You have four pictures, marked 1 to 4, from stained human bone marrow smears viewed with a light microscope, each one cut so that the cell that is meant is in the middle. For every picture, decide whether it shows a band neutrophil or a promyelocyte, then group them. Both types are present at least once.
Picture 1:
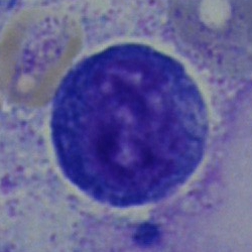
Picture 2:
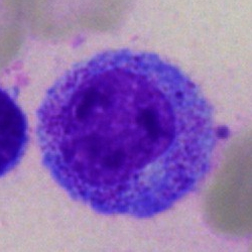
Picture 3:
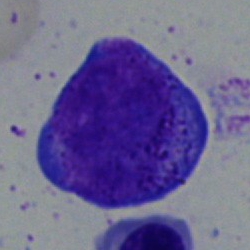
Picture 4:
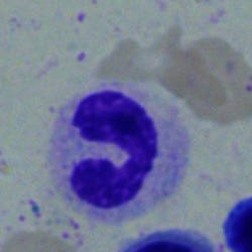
1: promyelocyte
2: promyelocyte
3: promyelocyte
4: band neutrophil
